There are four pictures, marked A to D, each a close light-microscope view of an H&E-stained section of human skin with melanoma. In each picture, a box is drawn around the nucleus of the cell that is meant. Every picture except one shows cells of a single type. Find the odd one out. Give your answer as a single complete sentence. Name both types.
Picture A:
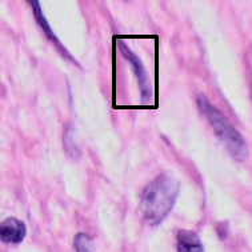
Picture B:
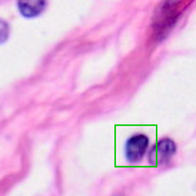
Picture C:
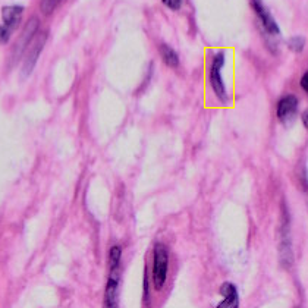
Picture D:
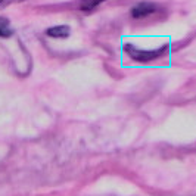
All pictures except B show “fibroblasts or myofibroblasts”; picture B shows a lymphocyte.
